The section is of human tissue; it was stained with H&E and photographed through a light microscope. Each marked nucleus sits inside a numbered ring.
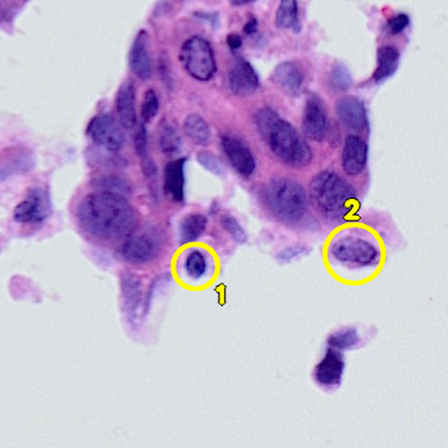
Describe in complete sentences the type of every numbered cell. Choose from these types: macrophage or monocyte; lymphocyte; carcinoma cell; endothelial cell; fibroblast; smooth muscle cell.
Cell 1 is a lymphocyte and cell 2 is a macrophage or monocyte.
